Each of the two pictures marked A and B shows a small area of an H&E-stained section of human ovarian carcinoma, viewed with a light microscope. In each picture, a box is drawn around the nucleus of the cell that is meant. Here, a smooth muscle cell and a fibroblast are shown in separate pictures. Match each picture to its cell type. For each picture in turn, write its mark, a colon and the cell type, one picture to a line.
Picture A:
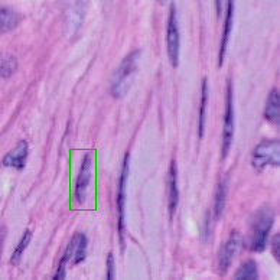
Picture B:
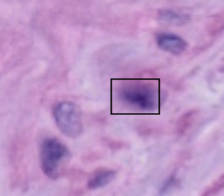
A: fibroblast
B: smooth muscle cell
